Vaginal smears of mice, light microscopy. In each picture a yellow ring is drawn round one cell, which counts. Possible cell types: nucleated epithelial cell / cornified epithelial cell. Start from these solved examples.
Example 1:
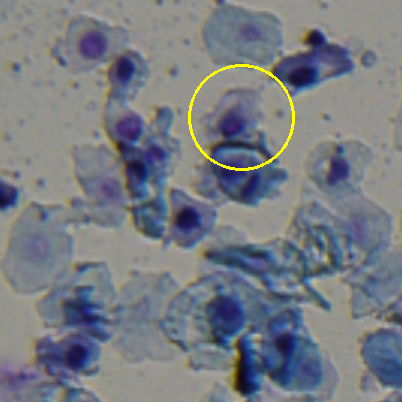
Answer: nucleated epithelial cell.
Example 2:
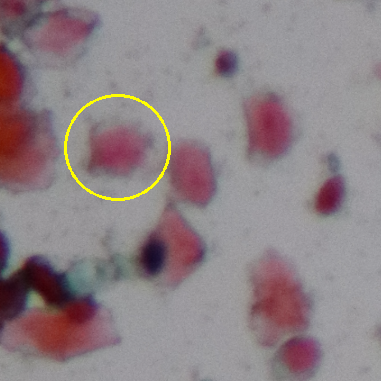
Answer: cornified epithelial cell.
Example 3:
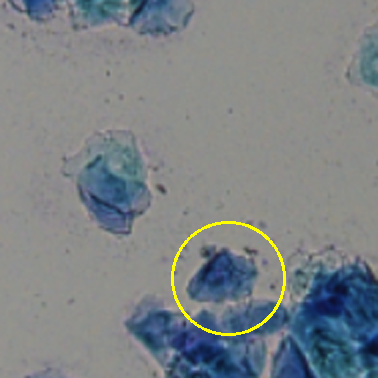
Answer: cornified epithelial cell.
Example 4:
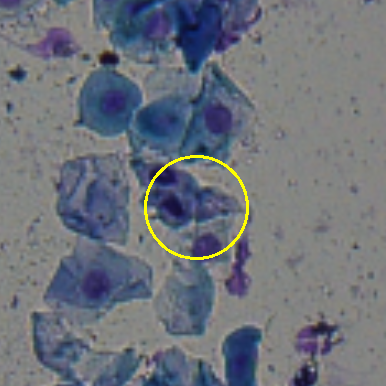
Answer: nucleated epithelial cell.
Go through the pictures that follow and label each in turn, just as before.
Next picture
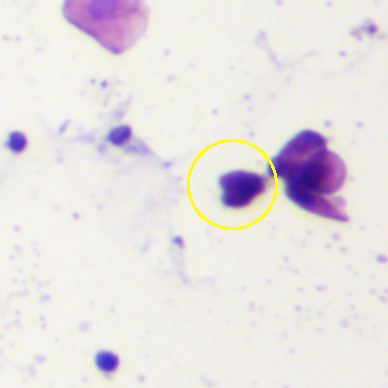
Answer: nucleated epithelial cell.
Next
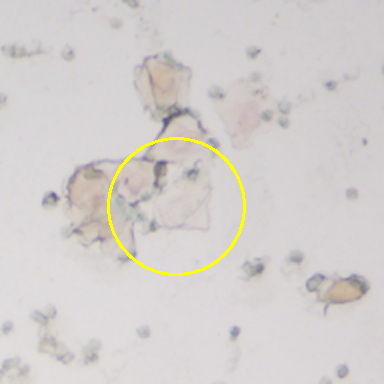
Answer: cornified epithelial cell.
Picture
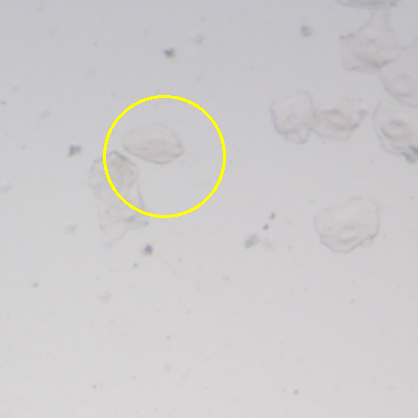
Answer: cornified epithelial cell.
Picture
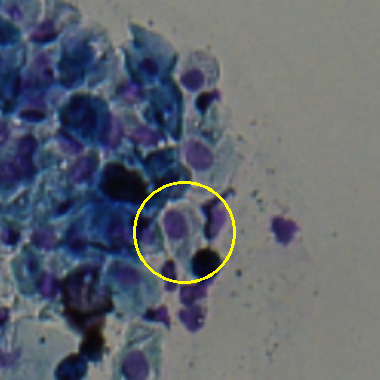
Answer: nucleated epithelial cell.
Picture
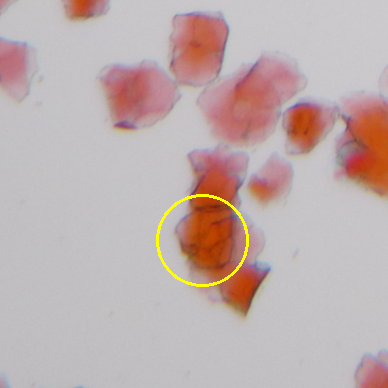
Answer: cornified epithelial cell.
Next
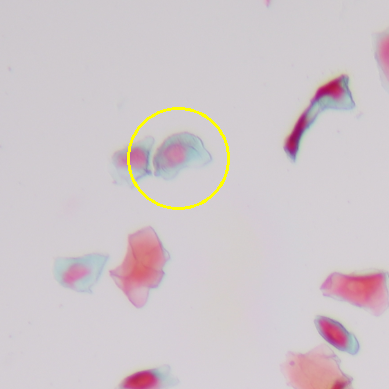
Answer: nucleated epithelial cell.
